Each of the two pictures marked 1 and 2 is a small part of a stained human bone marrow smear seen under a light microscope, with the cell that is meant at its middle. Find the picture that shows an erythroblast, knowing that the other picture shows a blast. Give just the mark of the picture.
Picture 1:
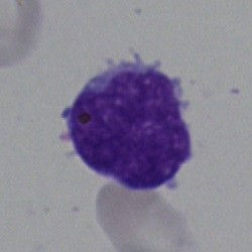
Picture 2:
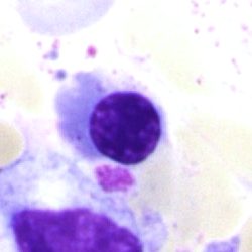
2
